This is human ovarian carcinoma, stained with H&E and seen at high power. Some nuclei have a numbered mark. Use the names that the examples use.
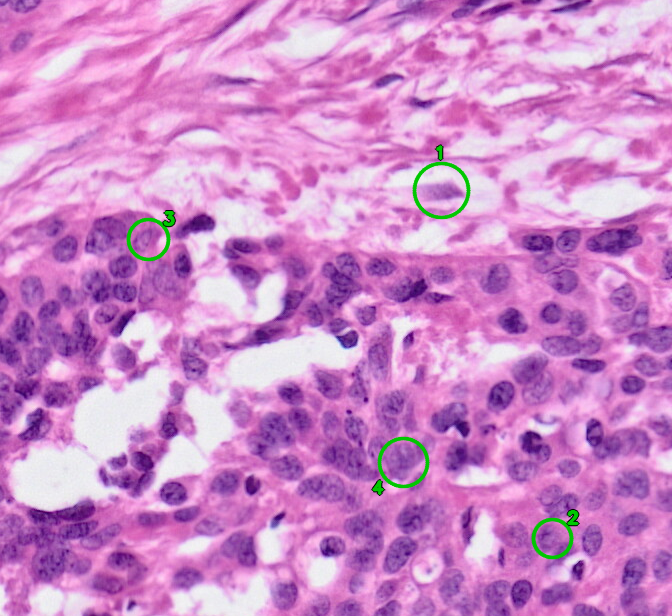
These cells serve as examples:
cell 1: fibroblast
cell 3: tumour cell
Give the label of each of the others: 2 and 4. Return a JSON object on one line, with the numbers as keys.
{"2": "tumour cell", "4": "tumour cell"}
